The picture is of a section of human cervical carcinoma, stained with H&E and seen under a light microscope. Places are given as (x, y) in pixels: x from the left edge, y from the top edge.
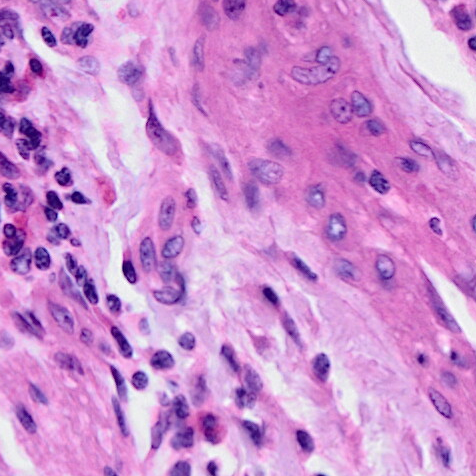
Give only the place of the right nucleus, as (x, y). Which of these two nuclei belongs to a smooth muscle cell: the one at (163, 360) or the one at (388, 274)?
(388, 274)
